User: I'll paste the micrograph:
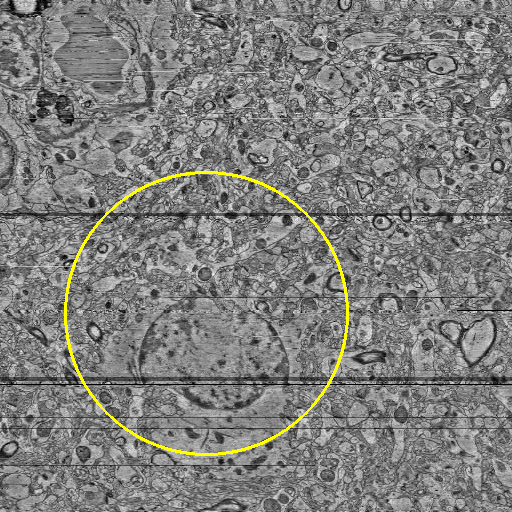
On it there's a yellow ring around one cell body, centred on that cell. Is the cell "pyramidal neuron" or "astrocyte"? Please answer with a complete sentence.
The cell ringed in yellow is an astrocyte.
